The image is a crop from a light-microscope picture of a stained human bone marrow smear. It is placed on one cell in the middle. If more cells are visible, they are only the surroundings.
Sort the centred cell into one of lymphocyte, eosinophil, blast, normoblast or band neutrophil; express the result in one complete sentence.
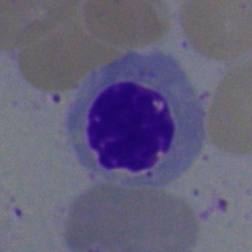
The cell centered in this field of view is a normoblast.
